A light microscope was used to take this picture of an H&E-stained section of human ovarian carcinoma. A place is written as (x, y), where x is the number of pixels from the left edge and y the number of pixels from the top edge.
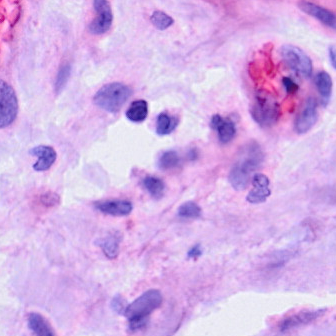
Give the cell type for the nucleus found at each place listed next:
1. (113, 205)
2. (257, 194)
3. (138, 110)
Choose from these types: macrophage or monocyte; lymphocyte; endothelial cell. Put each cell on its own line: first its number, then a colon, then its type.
1: macrophage or monocyte
2: macrophage or monocyte
3: lymphocyte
